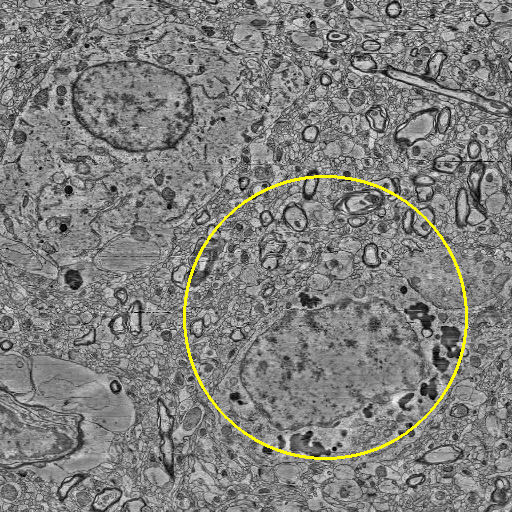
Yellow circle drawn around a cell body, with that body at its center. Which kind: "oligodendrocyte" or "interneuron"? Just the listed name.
interneuron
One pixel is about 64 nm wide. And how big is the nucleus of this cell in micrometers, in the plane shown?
Roughly 12 micrometres by 9 micrometres, in this plane.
